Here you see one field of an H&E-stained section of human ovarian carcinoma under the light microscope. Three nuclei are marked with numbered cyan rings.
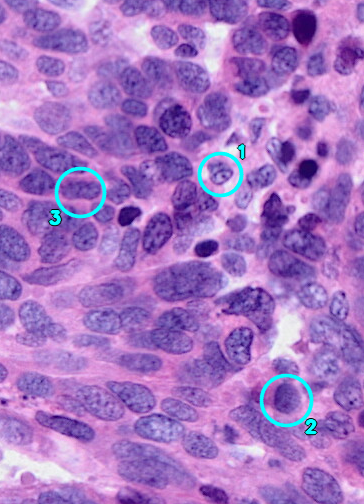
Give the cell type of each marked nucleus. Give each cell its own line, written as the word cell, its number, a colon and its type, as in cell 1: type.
cell 1: macrophage or monocyte
cell 2: carcinoma cell
cell 3: carcinoma cell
